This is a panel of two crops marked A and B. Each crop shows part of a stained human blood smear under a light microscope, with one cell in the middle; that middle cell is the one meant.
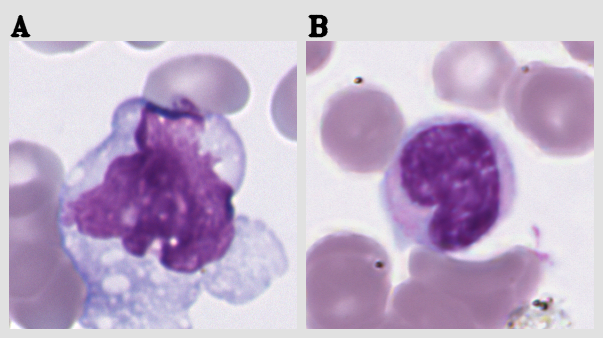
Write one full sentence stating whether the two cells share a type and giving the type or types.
No, for crop A the cell is a monocyte, and for crop B it is a band neutrophil.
